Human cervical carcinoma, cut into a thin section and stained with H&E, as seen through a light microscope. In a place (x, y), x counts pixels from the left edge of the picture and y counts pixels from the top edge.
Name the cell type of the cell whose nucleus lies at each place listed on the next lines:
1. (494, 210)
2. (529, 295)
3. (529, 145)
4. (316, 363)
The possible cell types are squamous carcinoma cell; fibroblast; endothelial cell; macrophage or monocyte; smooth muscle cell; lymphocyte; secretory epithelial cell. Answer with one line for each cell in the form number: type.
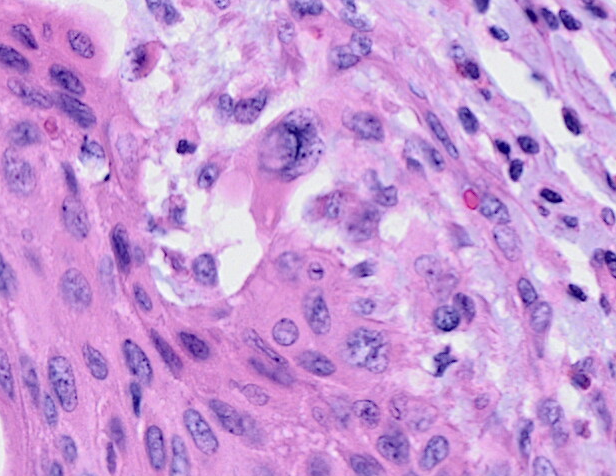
1: endothelial cell
2: endothelial cell
3: lymphocyte
4: squamous carcinoma cell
